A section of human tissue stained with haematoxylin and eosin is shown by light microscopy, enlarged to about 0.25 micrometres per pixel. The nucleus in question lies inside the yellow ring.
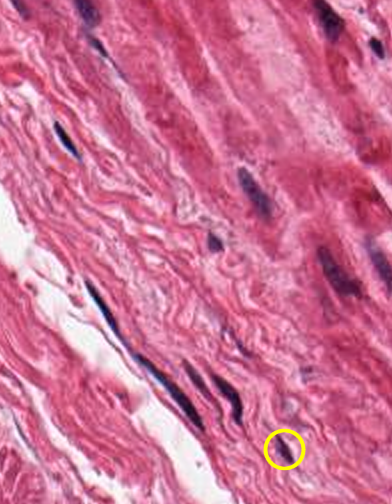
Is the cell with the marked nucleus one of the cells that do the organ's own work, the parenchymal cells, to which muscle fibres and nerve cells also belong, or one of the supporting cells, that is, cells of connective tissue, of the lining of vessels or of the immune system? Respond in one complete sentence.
It is a supporting cell to which the marked nucleus belongs.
